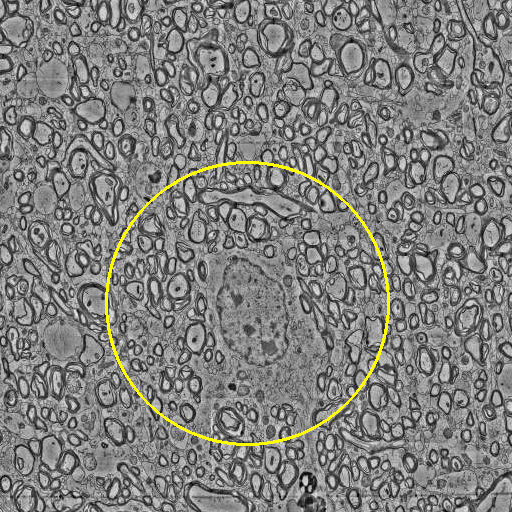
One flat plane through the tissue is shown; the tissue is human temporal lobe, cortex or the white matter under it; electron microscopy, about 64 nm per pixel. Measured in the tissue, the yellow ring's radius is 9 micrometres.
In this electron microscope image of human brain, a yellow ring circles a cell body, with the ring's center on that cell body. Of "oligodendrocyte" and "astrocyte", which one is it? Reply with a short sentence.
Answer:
It is an astrocyte at the center of the ring.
